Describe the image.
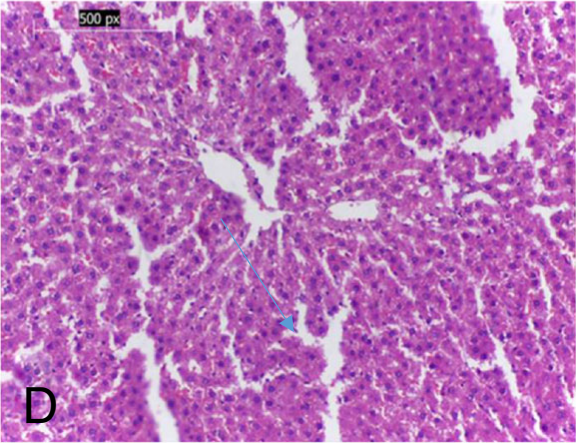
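This is liver tissue made of hepatocytes arranged in cords that radiate from a central vessel, separated by clear spaces. The hepatocytes are polygonal with pink cytoplasm and round, centrally placed purple nuclei, some cells appearing to have two nuclei.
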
